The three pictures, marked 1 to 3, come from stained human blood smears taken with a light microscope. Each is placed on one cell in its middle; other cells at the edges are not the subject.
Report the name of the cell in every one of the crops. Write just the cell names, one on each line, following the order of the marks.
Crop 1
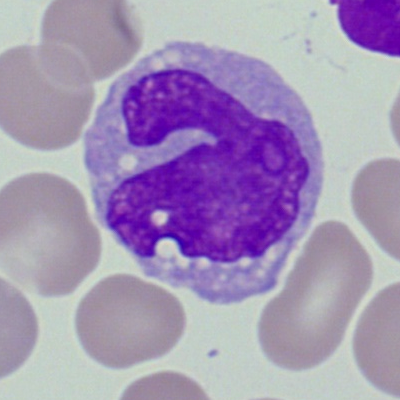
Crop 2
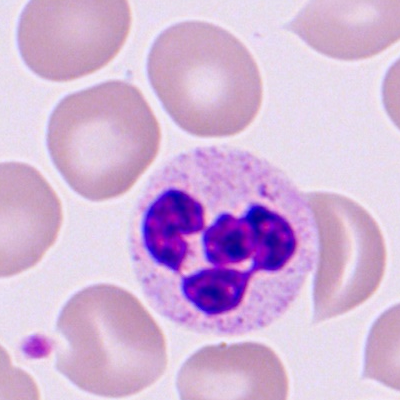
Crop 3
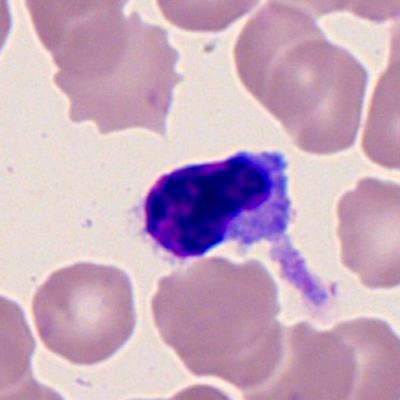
monocyte
neutrophil
lymphocyte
